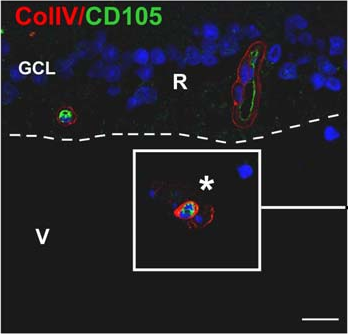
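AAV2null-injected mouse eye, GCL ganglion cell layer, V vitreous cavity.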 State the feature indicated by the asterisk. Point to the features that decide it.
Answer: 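Vascular structures. Beside the asterisk lies a small ring with a red rim and green inner lining. It lies below the dashed line, in the empty dark space away from the cell layer.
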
